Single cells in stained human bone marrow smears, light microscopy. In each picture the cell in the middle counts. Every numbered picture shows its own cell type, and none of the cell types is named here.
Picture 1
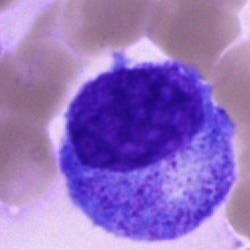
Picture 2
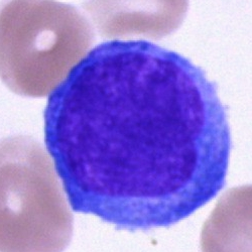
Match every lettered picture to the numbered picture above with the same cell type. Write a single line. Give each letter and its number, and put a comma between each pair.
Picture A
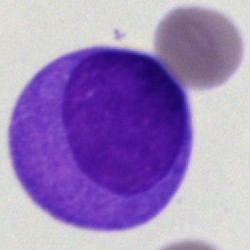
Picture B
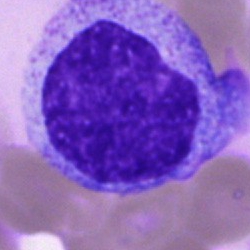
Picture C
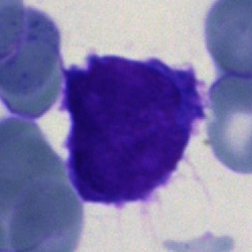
A 2, B 1, C 2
